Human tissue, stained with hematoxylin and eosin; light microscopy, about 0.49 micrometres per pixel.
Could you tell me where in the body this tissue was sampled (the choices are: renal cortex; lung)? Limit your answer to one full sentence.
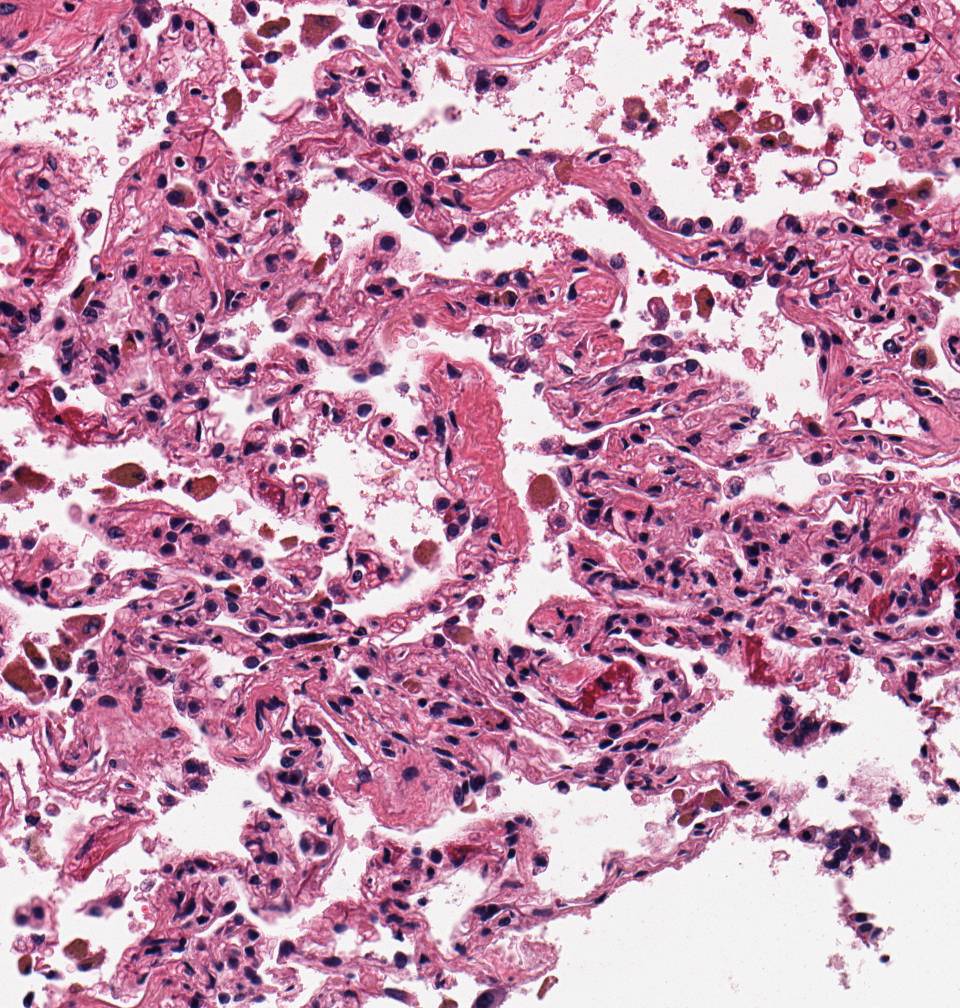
This piece of tissue was sampled from the lung.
